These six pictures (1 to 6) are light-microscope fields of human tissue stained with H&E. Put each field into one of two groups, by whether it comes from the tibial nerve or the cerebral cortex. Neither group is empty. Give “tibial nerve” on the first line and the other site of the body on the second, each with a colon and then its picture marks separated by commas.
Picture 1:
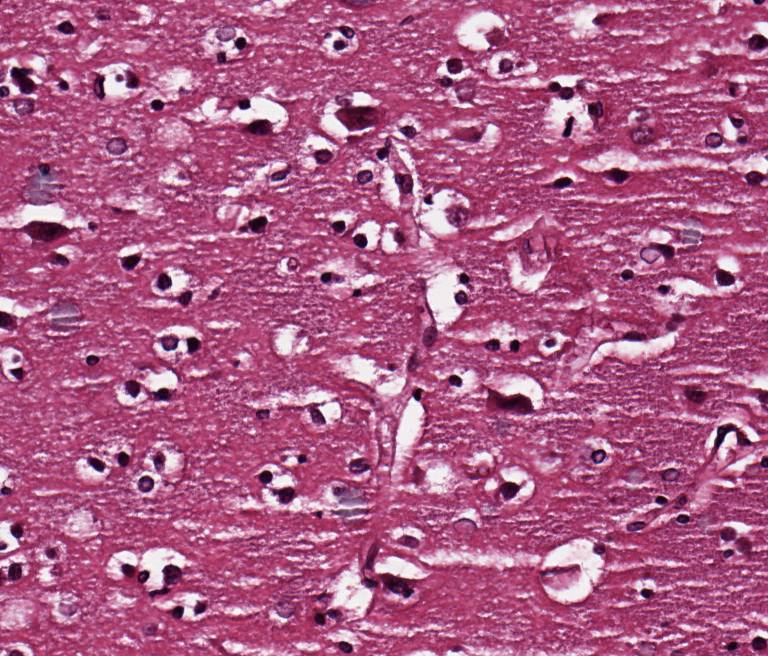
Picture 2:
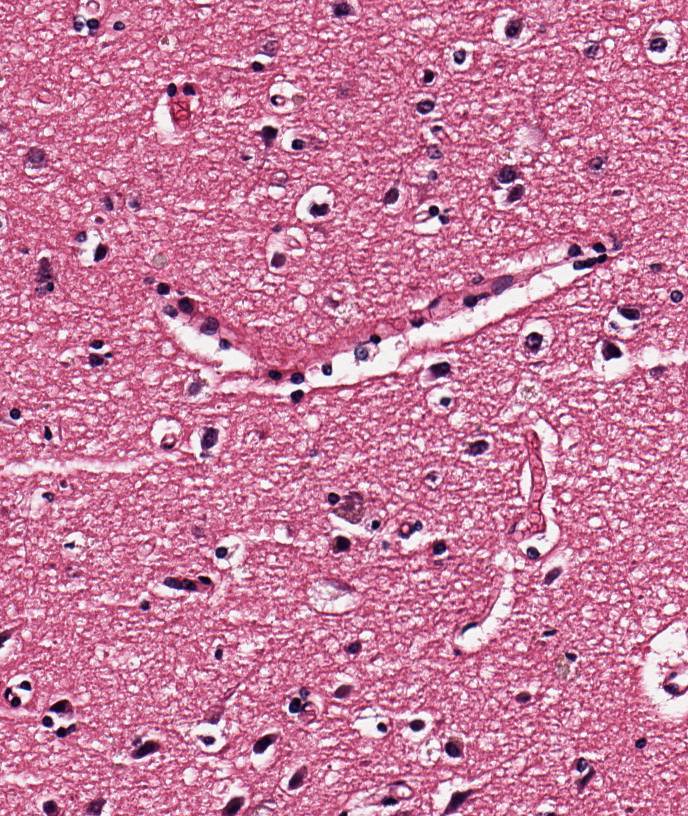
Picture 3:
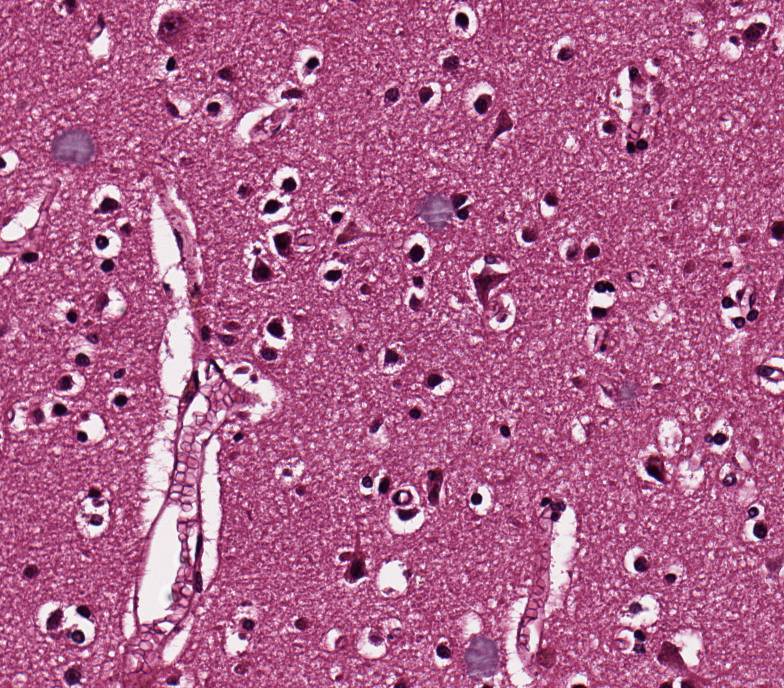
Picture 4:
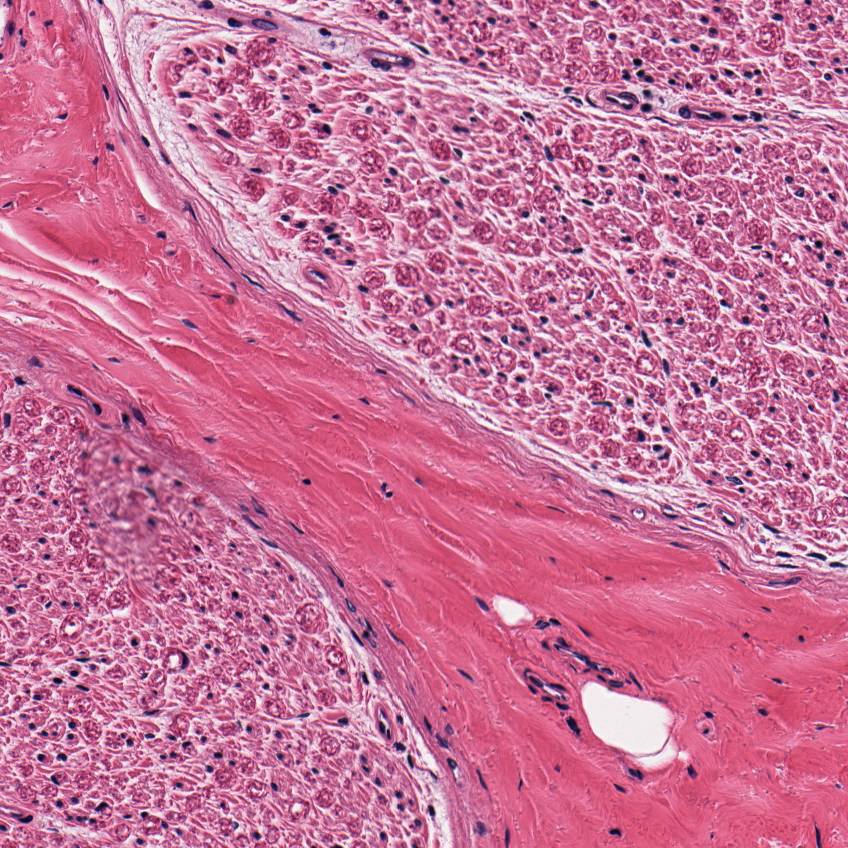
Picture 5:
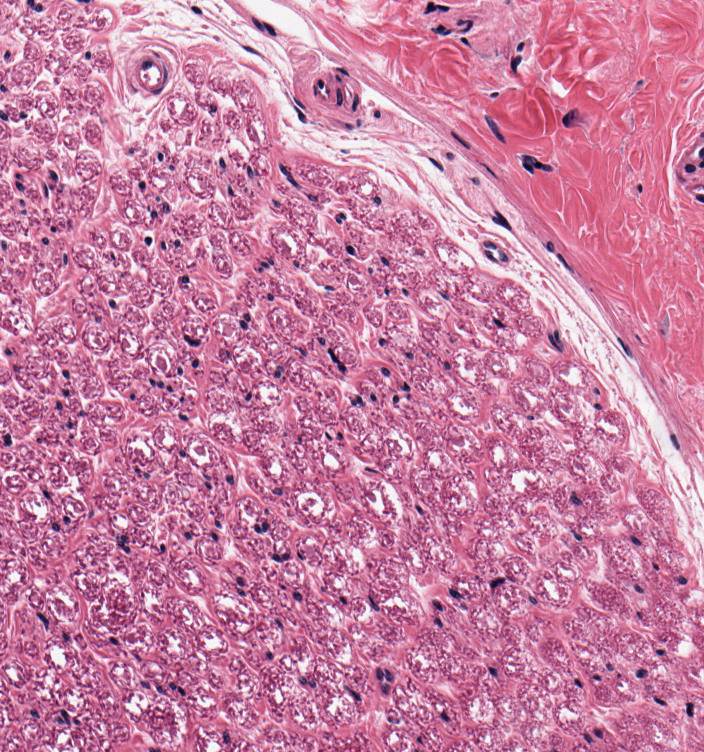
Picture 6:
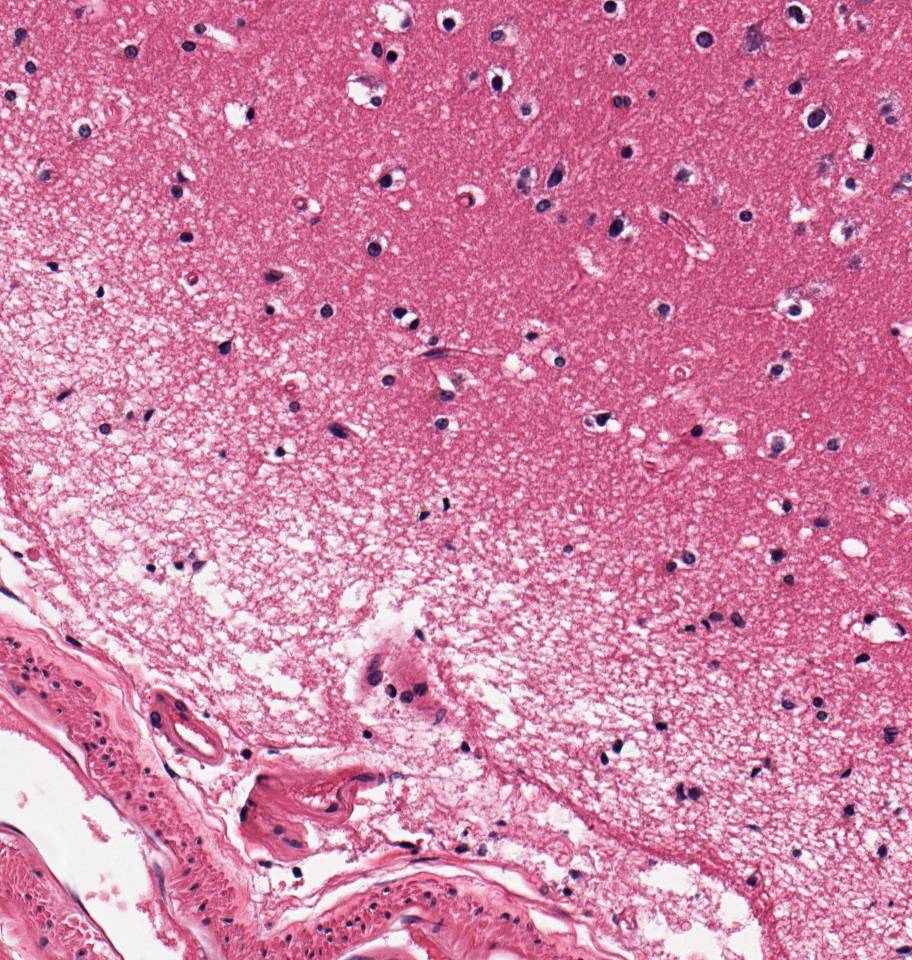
tibial nerve: 4, 5
cerebral cortex: 1, 2, 3, 6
